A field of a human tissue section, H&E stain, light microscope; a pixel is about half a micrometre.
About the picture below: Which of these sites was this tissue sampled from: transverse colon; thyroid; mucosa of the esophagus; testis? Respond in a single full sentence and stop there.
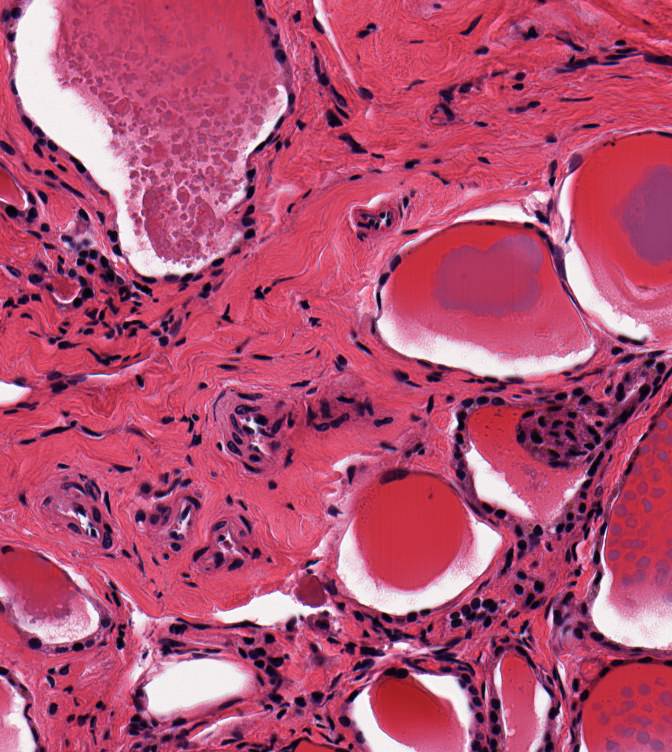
The tissue seen in this section was sampled from the thyroid.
